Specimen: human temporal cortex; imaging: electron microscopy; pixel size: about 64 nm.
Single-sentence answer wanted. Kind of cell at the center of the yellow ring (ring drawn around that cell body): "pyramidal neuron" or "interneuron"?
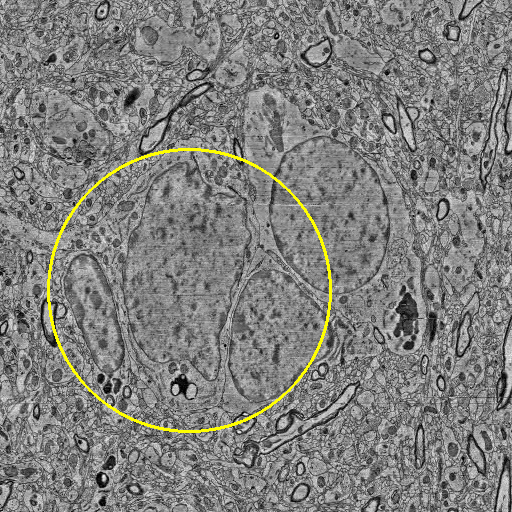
The cell centered in the ring is an interneuron.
